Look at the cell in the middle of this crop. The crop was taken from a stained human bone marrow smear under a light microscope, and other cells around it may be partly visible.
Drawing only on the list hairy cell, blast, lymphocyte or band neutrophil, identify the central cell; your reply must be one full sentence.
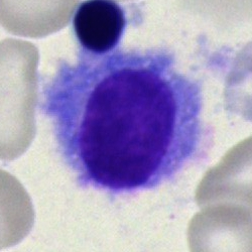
Of the cells in this crop, the central one is a hairy cell.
